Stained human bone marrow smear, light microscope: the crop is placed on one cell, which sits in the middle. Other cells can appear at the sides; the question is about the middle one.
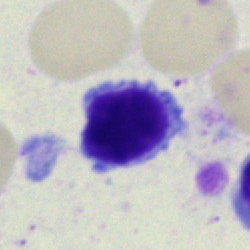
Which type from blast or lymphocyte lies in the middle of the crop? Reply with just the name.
lymphocyte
